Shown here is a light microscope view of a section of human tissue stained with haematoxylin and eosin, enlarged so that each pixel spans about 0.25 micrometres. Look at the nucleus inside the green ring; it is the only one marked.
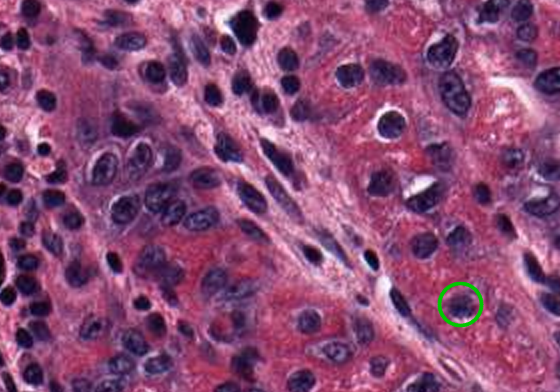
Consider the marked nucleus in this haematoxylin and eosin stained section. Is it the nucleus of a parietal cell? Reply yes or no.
yes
